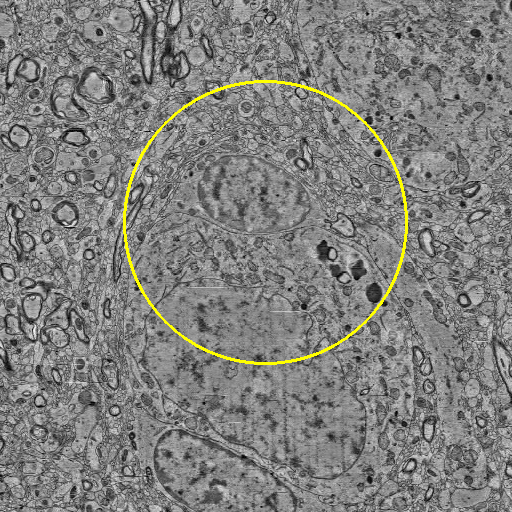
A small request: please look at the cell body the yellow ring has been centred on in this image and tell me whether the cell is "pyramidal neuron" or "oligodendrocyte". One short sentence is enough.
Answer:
The cell marked by the ring is an oligodendrocyte.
